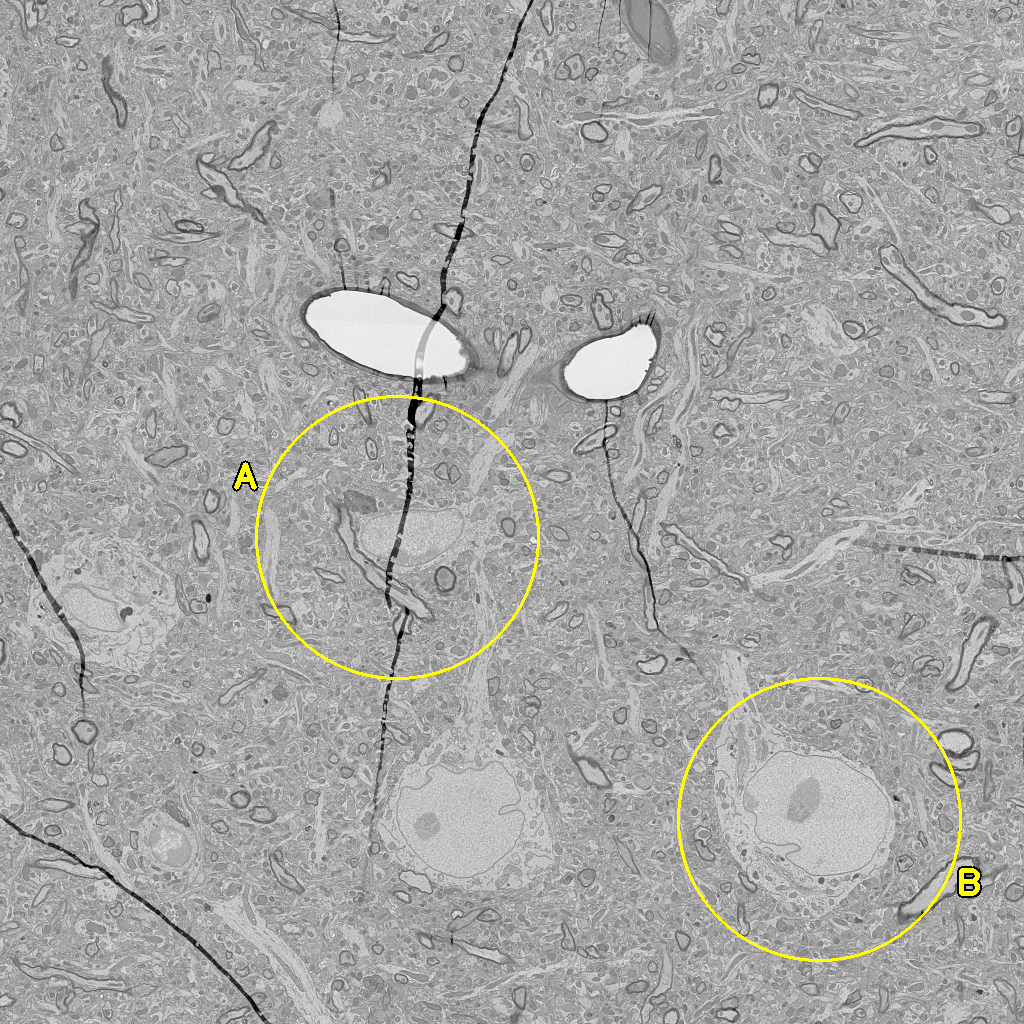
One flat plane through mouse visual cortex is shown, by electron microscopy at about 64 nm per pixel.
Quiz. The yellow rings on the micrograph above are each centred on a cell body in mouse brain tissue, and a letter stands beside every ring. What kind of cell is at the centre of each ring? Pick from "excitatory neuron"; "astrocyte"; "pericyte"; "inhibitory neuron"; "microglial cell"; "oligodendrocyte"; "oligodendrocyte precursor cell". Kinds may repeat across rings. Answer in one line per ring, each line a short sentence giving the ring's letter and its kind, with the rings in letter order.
The ring labelled A has an astrocyte at its centre.
The ring labelled B has an excitatory neuron at its centre.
